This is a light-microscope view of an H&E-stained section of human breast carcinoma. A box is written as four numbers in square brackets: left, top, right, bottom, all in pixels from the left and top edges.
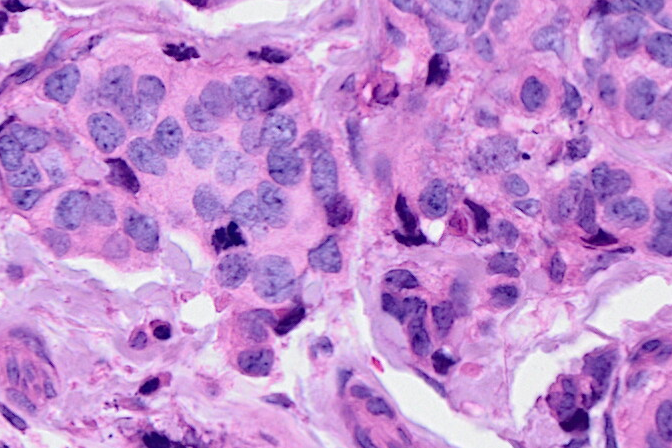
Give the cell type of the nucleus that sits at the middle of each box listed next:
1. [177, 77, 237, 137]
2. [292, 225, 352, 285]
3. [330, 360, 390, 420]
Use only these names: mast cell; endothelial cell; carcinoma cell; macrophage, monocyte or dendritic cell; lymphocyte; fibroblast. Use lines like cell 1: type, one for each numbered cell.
cell 1: carcinoma cell
cell 2: carcinoma cell
cell 3: endothelial cell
